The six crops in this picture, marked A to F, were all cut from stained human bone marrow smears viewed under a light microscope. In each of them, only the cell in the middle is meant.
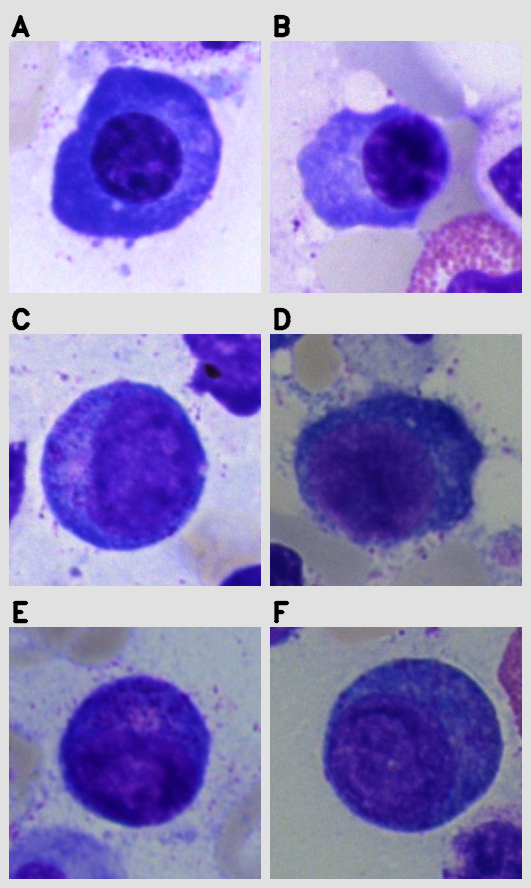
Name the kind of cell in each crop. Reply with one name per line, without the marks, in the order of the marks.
plasma cell
plasma cell
promyelocyte
plasma cell
promyelocyte
promyelocyte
